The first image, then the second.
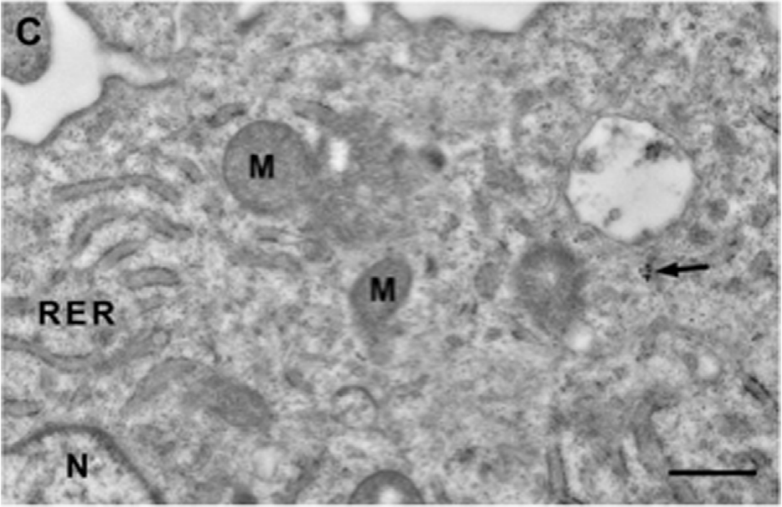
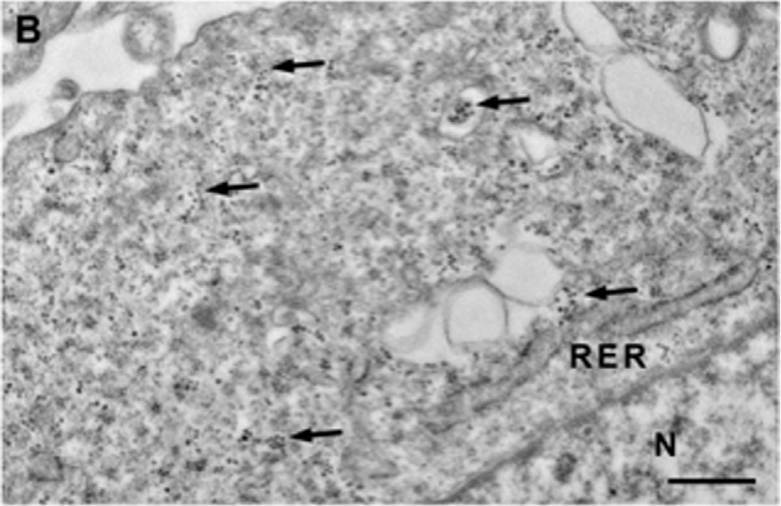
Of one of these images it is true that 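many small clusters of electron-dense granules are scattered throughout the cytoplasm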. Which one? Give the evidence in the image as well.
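First image: the cytoplasm is mostly free of dense granule clusters, with only a single small dense spot. Second image: numerous small groups of very dark dots are spread across the cytoplasm, some within vacuoles.
The second image.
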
